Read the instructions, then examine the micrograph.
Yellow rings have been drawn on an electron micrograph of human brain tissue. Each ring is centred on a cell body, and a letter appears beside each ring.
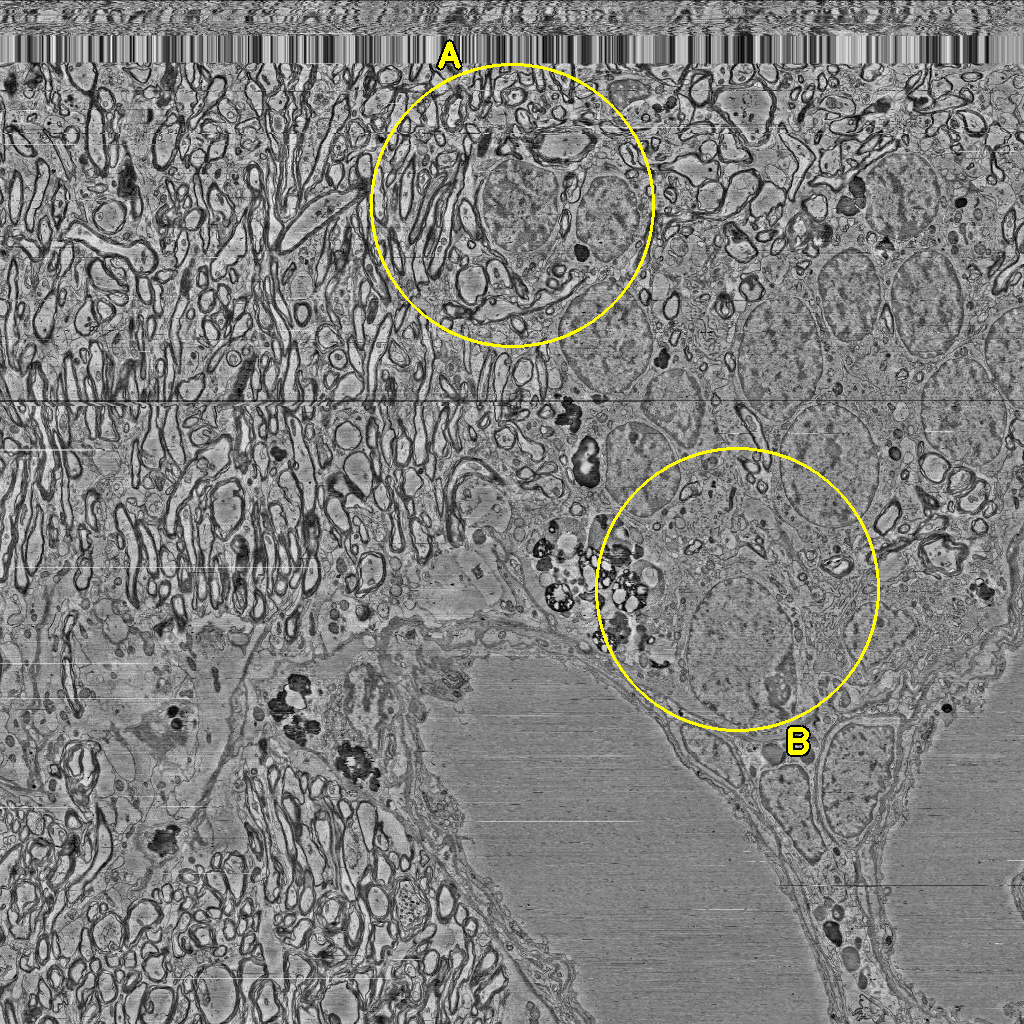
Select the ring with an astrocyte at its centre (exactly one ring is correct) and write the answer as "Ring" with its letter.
Ring B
